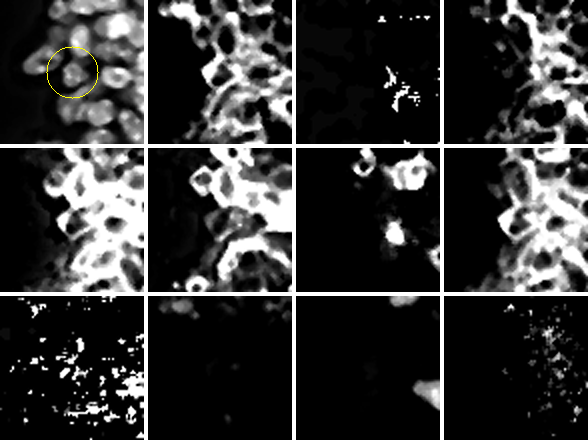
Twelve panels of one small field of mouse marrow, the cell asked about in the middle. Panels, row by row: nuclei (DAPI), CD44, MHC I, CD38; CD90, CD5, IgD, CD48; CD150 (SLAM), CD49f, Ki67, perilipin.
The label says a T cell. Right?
Wrong: this is a monocyte.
